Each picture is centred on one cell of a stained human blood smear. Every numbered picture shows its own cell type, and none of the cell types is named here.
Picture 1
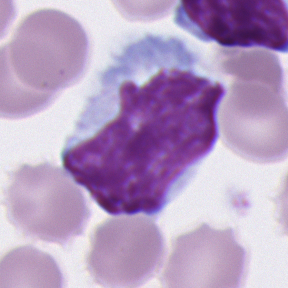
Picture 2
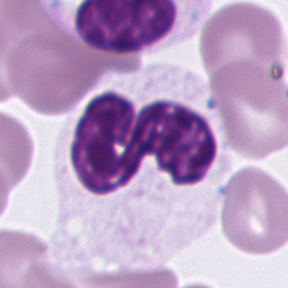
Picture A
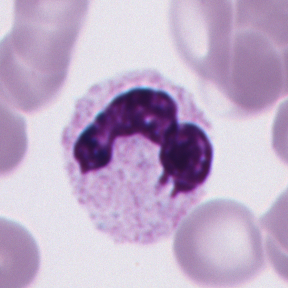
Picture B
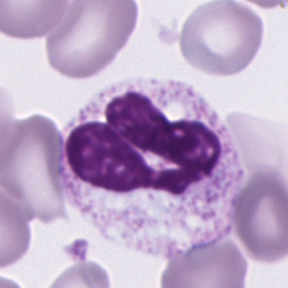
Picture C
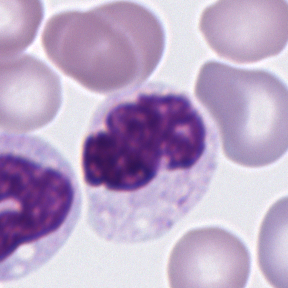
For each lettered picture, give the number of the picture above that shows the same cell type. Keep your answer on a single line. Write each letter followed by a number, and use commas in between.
A 2, B 2, C 2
